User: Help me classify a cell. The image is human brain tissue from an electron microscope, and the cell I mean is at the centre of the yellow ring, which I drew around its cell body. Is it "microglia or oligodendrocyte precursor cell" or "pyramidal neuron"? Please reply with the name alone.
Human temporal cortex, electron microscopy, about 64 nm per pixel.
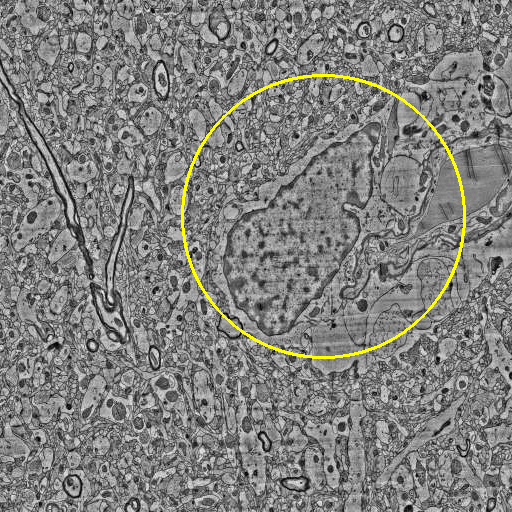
microglia or oligodendrocyte precursor cell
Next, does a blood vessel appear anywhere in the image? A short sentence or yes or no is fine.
Yes, there is one.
